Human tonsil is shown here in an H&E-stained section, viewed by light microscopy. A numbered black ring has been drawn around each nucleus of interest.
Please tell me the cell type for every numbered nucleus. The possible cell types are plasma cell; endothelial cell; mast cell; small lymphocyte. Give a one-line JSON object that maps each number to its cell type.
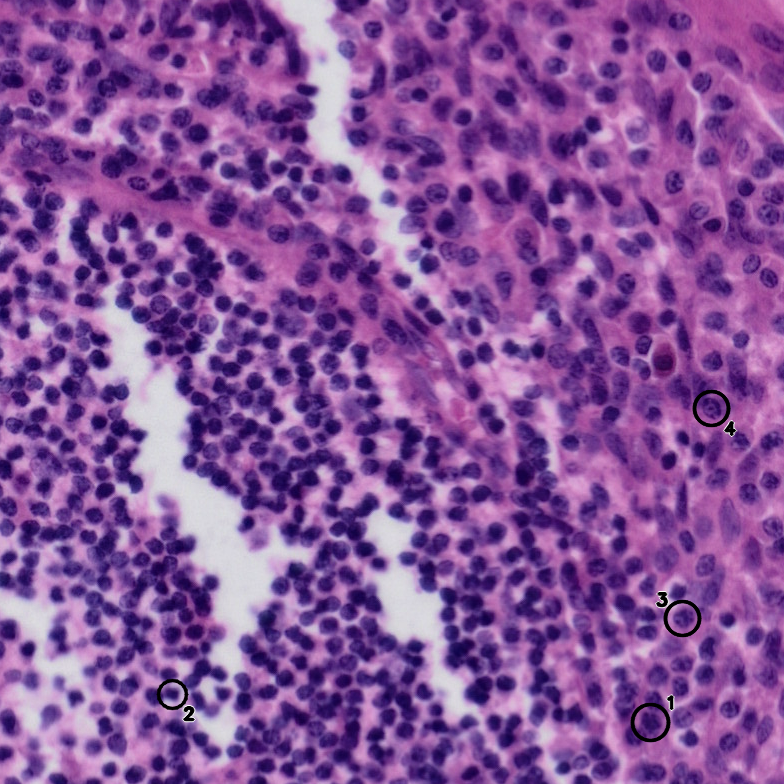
{"1": "plasma cell", "2": "small lymphocyte", "3": "plasma cell", "4": "plasma cell"}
